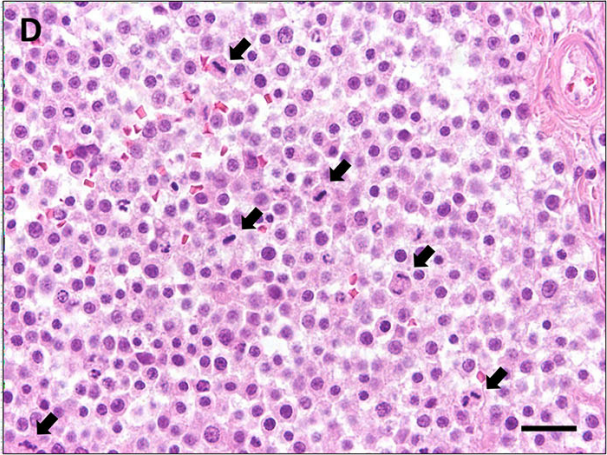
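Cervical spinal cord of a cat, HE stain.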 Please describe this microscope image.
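Scattered among them are cells with dark, condensed, bar-shaped chromatin, which are mitotic figures. Small red blood cells lie between the tumour cells, and a small vessel with a fibrous wall is seen at the upper right edge.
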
